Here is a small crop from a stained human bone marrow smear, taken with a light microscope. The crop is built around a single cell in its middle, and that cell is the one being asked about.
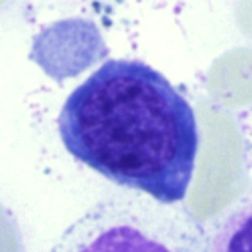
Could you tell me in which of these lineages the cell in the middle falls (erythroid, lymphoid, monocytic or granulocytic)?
erythroid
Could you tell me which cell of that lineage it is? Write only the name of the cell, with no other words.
erythroblast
